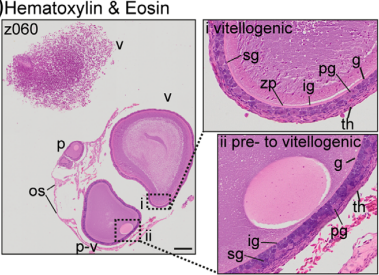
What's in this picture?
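This cross section shows ovarian tissue with several follicles of different sizes. The larger follicles are filled with pink-staining yolk and are bounded by a thin wall. Between and around them lies looser, pale pink, wispy tissue. The enlarged views show the follicle wall as several layers: a thin pink band next to the yolk, then purple-staining layers of cells with dark nuclei, and an outer flattened layer. In one enlarged view, a large, pale pink, smooth oval body sits within the follicle near its wall. At the upper left lies a loose mass of purple granular material.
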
